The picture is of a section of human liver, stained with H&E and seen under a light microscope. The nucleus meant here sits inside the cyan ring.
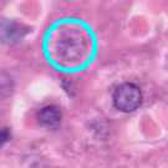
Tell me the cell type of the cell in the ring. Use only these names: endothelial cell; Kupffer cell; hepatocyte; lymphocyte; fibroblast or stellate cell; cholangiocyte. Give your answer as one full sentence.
As to its cell type, the cell in the ring is a hepatocyte.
